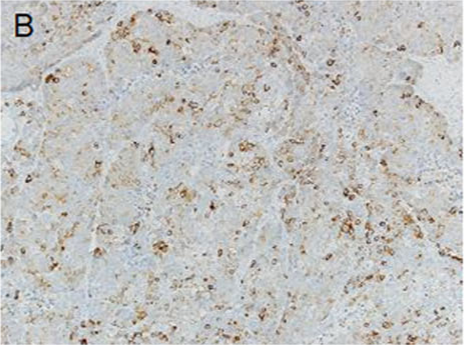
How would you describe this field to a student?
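This is a section of solid tumour-like tissue. Sheets and nests of closely packed cells are separated by thin, pale strands of fibrous stroma, and the nuclei are counterstained blue. Among these cells, many single cells are scattered throughout with strong, granular brown staining of their cytoplasm. They stand out as small dark-brown dots against the pale blue background. The remaining cells show little or no brown. The stroma is unstained.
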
